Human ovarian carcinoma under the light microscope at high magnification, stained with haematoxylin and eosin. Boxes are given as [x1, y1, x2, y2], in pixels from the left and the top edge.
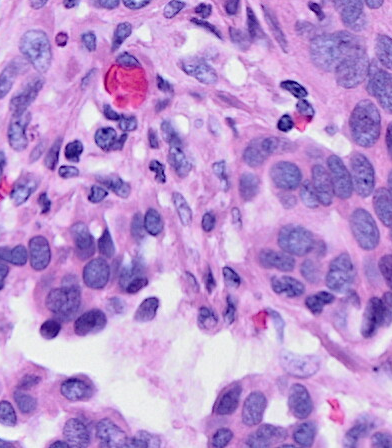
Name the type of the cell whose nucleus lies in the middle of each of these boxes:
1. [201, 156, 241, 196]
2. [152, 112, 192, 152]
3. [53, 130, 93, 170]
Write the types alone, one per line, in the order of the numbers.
fibroblast
fibroblast
lymphocyte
